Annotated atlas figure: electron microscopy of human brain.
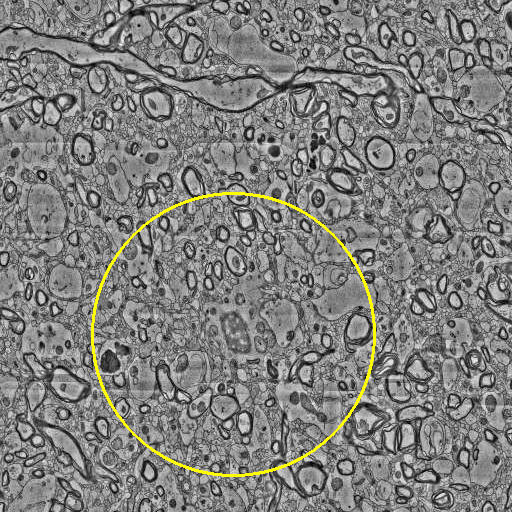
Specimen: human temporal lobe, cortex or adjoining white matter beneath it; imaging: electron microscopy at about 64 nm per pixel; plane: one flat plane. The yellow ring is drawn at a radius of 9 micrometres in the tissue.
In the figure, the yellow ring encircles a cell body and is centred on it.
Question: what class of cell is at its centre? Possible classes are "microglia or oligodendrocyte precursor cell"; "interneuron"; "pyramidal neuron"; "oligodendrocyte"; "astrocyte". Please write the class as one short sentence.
The yellow ring is drawn around an oligodendrocyte.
